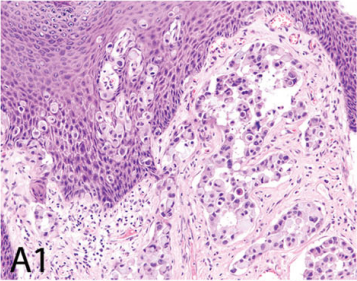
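Skin with invasive adenocarcinoma: squamous epidermis at top with nests of atypical glandular tumor cells within it and in the underlying dermis. Tumor cells are large, with pale to clear, often vacuolated cytoplasm and enlarged, dark nuclei. In the dermis they form irregular nests and small gland-like groups set in fibrous stroma.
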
